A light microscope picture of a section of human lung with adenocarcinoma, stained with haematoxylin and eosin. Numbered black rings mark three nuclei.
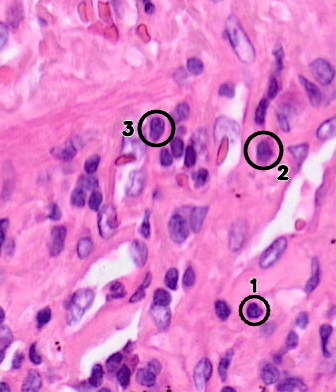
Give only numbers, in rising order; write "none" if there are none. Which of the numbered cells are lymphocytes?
1, 3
